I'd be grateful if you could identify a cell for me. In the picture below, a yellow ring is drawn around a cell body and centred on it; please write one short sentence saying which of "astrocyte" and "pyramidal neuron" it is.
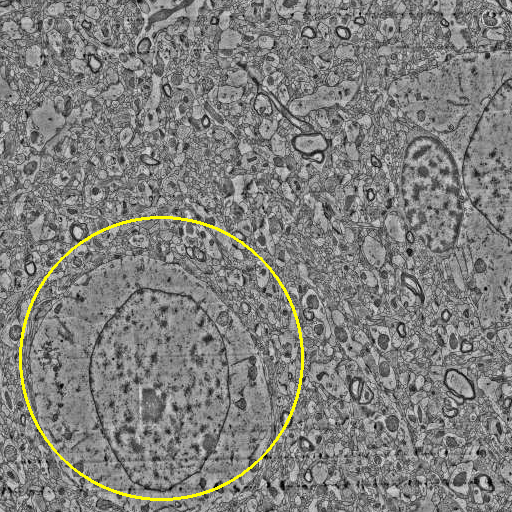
The cell under the ring's centre is a pyramidal neuron.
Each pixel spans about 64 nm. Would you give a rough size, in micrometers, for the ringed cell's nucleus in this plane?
About 13 micrometres by about 9 micrometres in this plane.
